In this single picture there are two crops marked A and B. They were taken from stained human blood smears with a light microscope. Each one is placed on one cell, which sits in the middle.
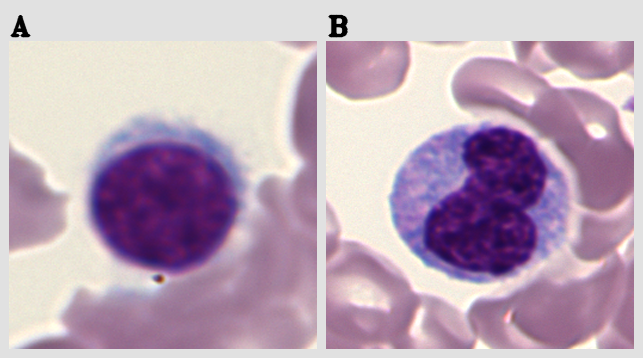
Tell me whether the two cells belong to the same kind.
no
